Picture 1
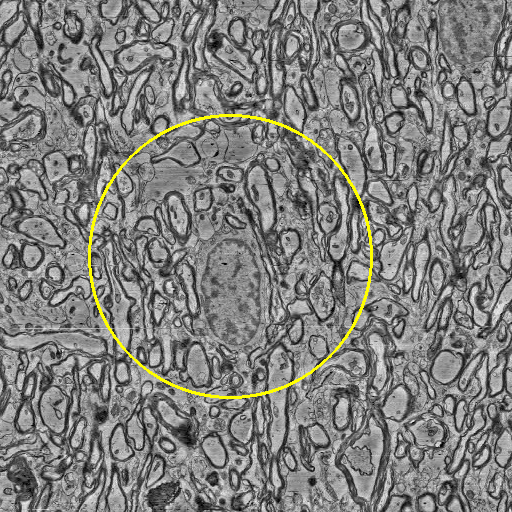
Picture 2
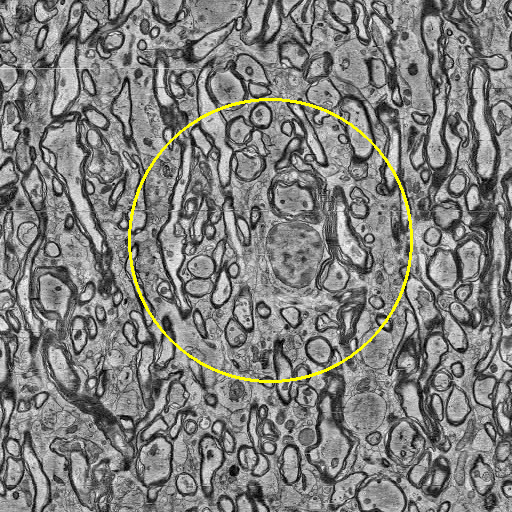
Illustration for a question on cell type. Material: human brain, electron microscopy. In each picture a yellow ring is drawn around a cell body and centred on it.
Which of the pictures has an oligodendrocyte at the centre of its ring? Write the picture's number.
1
